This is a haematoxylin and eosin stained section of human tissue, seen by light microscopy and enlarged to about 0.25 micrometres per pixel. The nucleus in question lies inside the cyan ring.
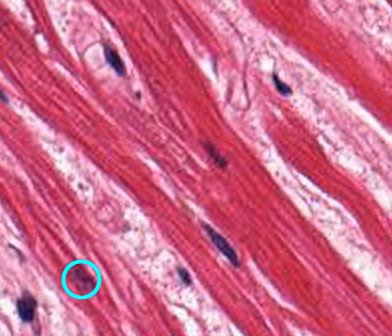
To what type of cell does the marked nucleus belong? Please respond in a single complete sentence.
Located in a cardiomyocyte is the marked nucleus.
